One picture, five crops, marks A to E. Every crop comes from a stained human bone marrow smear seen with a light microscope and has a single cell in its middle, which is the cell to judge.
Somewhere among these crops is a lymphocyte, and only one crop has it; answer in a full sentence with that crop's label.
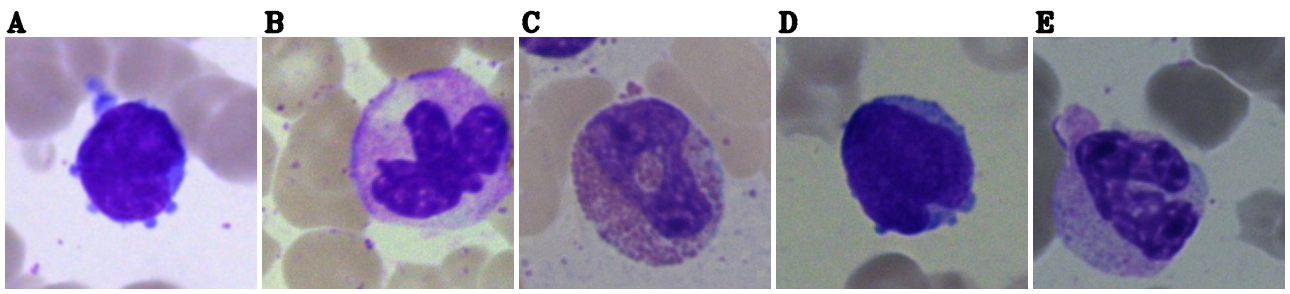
Here the crop that shows a lymphocyte is crop A.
